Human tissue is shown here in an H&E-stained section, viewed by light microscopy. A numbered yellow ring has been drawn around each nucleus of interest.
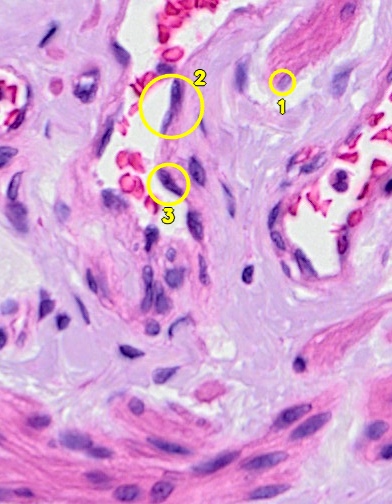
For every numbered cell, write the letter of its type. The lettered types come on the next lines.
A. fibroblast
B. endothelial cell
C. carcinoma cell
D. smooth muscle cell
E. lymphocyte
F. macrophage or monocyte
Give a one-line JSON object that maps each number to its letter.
{"1": "D", "2": "B", "3": "B"}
